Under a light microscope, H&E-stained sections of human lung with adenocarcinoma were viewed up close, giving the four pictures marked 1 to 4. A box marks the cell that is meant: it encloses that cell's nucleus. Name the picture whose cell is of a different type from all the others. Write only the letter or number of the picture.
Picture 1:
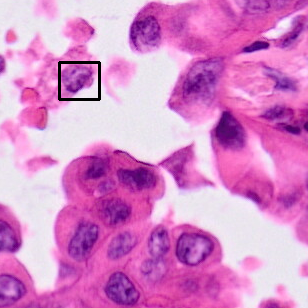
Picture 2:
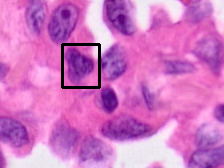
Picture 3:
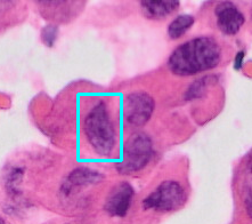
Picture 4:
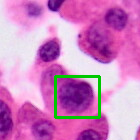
1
